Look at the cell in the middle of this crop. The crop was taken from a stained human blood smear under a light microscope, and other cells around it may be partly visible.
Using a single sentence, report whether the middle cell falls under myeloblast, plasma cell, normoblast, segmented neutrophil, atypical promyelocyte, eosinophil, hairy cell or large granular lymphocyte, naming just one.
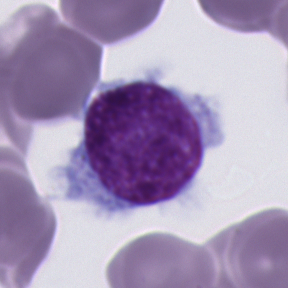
The cell shown in the center of this light-microscope crop is a hairy cell.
